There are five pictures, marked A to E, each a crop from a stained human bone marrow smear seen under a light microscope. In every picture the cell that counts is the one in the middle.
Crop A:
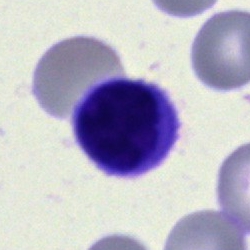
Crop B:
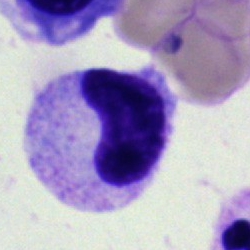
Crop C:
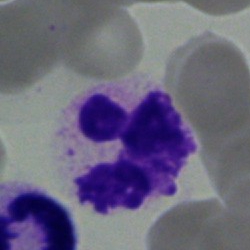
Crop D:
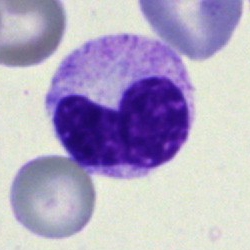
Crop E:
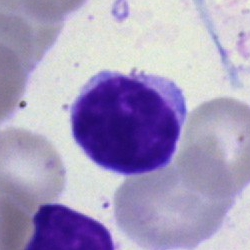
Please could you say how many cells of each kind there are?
lymphocyte: 2
band neutrophil: 2
basophil: 1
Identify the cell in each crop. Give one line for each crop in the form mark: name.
A: lymphocyte
B: band neutrophil
C: basophil
D: band neutrophil
E: lymphocyte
